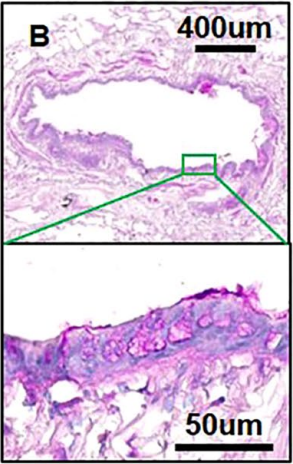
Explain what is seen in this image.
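Airway of lung with its epithelial lining, set in pink connective tissue and alveolar tissue. At low power the lumen is wide and the lining is folded. At high power the lining is a thick columnar layer with blue-purple nuclei. Scattered cells hold rounded magenta-stained material within the layer. The magenta stain is patchier and less dense than a fully filled lining.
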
